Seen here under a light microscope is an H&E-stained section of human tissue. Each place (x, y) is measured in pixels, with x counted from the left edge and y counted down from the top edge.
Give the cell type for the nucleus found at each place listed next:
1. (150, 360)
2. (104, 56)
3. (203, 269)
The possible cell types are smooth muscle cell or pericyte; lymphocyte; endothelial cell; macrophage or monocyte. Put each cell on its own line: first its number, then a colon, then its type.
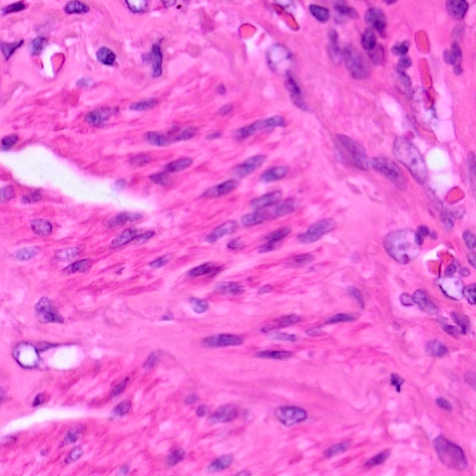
1: smooth muscle cell or pericyte
2: lymphocyte
3: smooth muscle cell or pericyte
